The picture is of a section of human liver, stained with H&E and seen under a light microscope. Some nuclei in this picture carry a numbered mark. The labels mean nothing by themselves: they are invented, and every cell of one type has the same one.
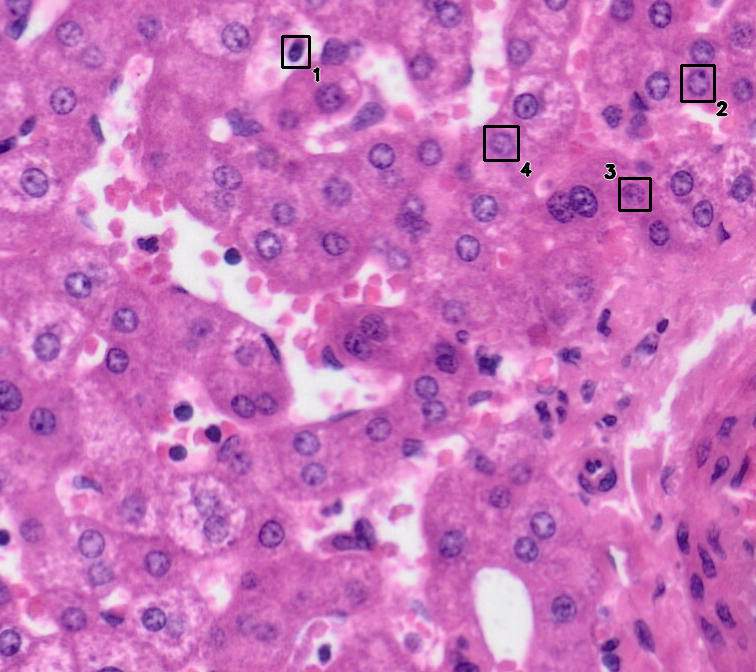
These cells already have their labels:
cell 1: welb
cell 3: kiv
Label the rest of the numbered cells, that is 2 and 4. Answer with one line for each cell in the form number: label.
2: kiv
4: kiv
